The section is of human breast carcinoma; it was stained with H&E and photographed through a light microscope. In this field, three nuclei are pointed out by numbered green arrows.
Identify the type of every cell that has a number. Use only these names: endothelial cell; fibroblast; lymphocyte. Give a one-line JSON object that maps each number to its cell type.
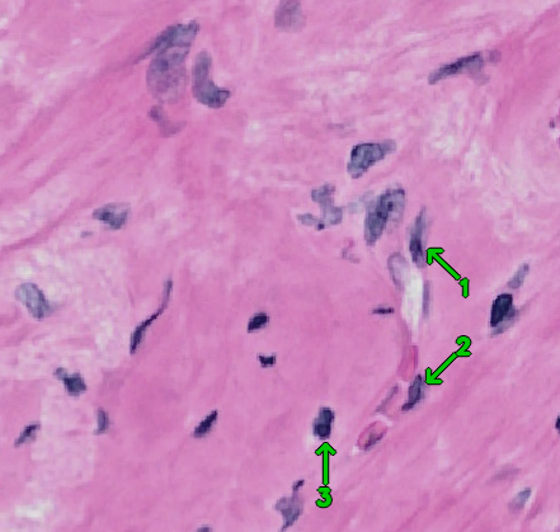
{"1": "endothelial cell", "2": "endothelial cell", "3": "lymphocyte"}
